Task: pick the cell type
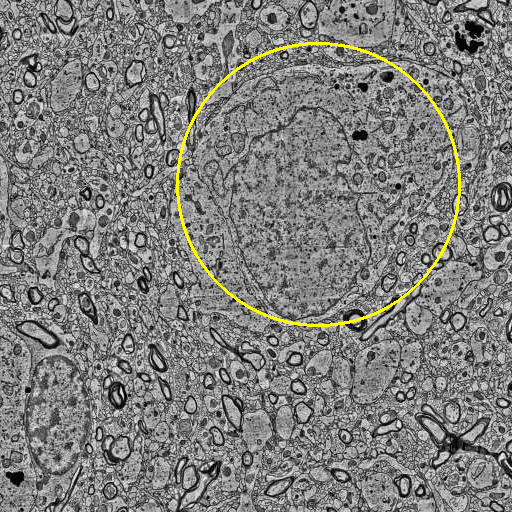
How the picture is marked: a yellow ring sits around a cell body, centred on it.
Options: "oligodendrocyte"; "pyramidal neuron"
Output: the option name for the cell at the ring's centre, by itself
pyramidal neuron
